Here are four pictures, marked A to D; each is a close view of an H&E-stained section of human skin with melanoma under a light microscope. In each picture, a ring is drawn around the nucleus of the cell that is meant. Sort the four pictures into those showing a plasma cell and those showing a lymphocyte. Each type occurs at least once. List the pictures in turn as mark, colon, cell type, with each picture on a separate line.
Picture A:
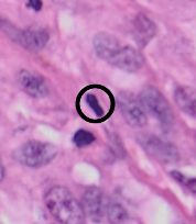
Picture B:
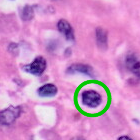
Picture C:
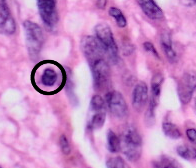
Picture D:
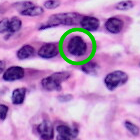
A: lymphocyte
B: lymphocyte
C: lymphocyte
D: plasma cell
